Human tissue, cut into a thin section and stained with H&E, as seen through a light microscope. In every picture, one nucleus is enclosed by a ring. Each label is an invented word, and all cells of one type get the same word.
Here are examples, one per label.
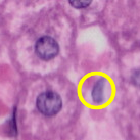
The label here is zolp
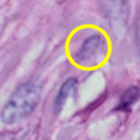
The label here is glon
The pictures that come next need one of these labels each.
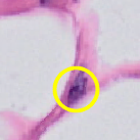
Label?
zolp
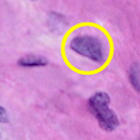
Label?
glon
